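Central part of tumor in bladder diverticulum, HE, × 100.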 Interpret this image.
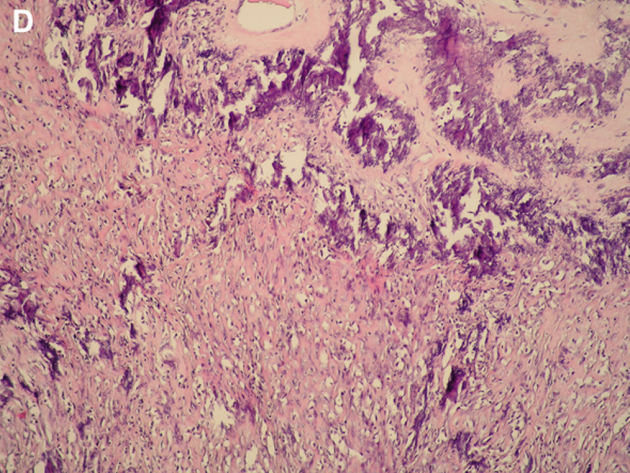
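Irregular, branching deep purple deposits run through a pale pink matrix. Scattered cells with small dark nuclei are spread through the matrix and lie among the deposits.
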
